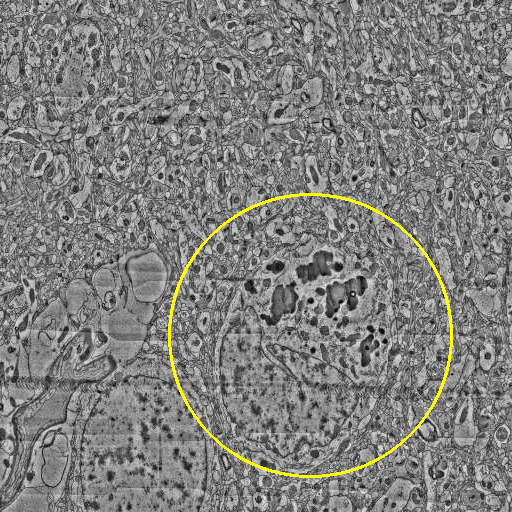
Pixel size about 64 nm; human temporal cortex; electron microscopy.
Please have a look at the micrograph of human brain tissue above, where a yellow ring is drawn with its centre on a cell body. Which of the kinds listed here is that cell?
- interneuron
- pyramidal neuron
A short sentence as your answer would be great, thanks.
At the centre of the ring sits an interneuron.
